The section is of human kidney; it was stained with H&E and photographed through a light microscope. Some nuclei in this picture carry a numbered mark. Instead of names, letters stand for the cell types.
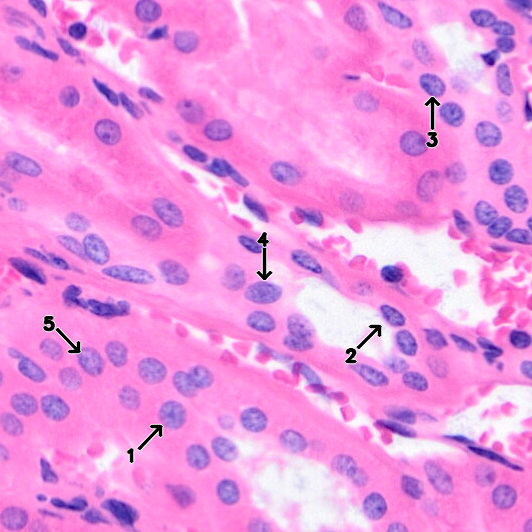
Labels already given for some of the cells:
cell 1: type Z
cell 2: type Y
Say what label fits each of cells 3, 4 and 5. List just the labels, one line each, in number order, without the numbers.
type Y
type Y
type Z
